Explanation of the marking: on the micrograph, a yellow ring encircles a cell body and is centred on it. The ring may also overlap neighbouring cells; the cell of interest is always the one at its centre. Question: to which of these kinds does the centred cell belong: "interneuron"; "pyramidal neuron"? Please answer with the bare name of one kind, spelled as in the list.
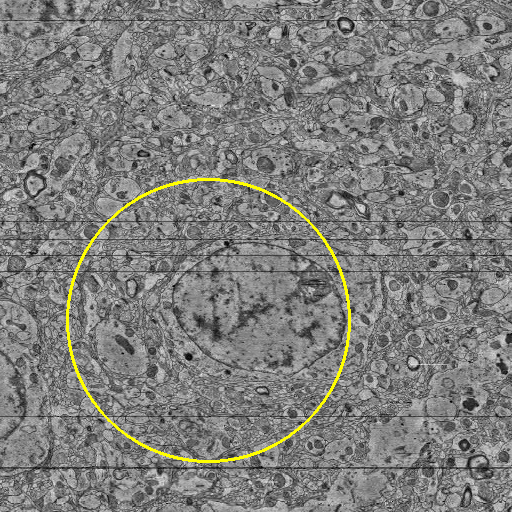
pyramidal neuron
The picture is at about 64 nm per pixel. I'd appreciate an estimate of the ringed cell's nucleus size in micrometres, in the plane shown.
Approximately 11 micrometres long and 9 micrometres wide, in this plane.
